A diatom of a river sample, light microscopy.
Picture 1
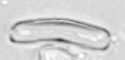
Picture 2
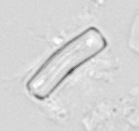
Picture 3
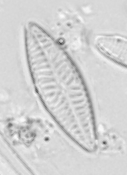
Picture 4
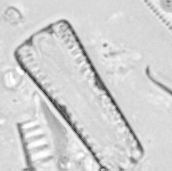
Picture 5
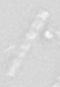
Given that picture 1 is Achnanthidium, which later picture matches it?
2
